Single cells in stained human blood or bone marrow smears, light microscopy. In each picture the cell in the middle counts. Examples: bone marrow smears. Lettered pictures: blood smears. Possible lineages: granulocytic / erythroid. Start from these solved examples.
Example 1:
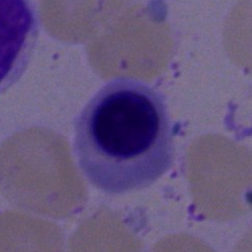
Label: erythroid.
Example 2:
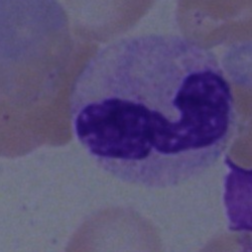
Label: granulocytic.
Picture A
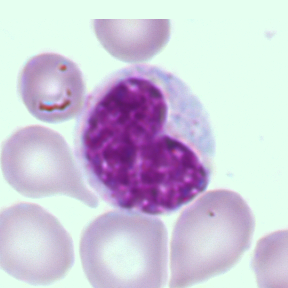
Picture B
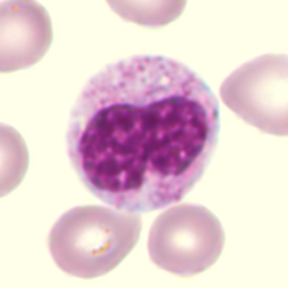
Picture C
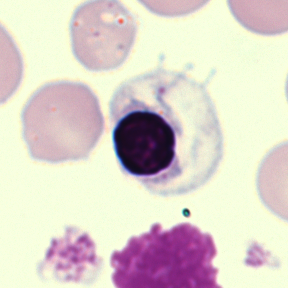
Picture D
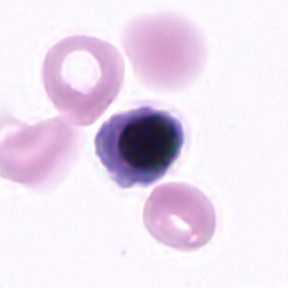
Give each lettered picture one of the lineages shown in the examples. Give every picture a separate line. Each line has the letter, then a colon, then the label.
A: granulocytic.
B: granulocytic.
C: erythroid.
D: erythroid.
